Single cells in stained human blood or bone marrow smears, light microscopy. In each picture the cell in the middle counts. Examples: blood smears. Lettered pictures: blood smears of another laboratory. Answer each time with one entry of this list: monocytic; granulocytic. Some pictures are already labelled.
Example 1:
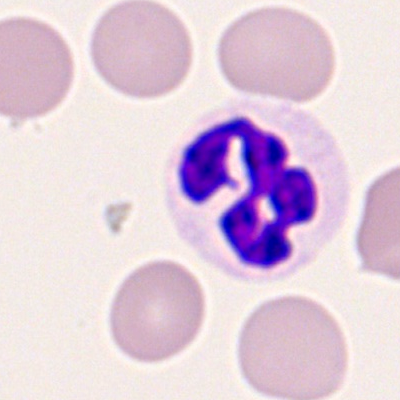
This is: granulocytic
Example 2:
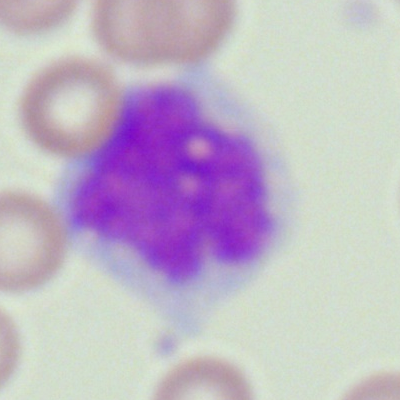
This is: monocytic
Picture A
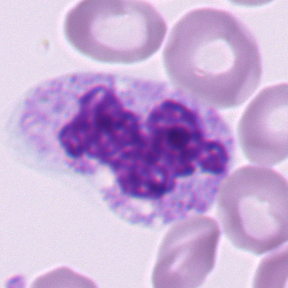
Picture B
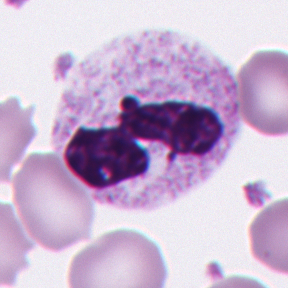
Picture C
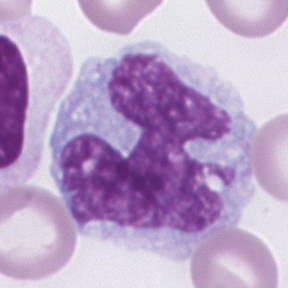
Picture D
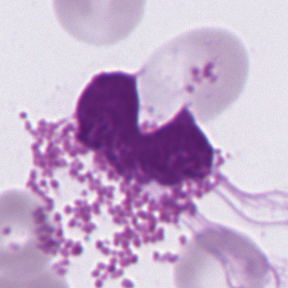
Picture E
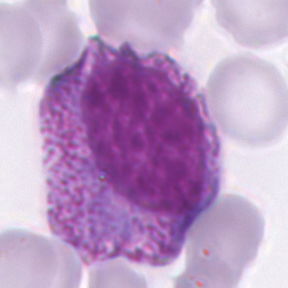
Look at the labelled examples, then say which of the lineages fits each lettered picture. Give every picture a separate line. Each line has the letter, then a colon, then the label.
A: granulocytic
B: granulocytic
C: monocytic
D: granulocytic
E: granulocytic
